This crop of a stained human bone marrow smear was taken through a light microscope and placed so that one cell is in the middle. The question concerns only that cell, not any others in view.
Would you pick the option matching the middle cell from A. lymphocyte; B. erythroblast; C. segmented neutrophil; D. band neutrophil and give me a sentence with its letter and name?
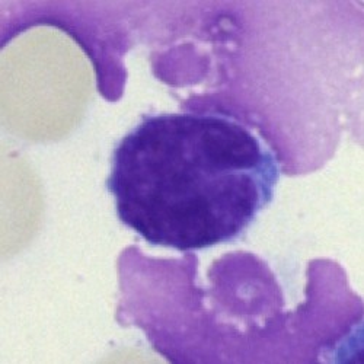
Option A is correct here, and the cell in the middle is a lymphocyte.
